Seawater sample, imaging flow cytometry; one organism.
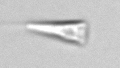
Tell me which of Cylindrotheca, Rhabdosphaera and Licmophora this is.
The picture shows Licmophora.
